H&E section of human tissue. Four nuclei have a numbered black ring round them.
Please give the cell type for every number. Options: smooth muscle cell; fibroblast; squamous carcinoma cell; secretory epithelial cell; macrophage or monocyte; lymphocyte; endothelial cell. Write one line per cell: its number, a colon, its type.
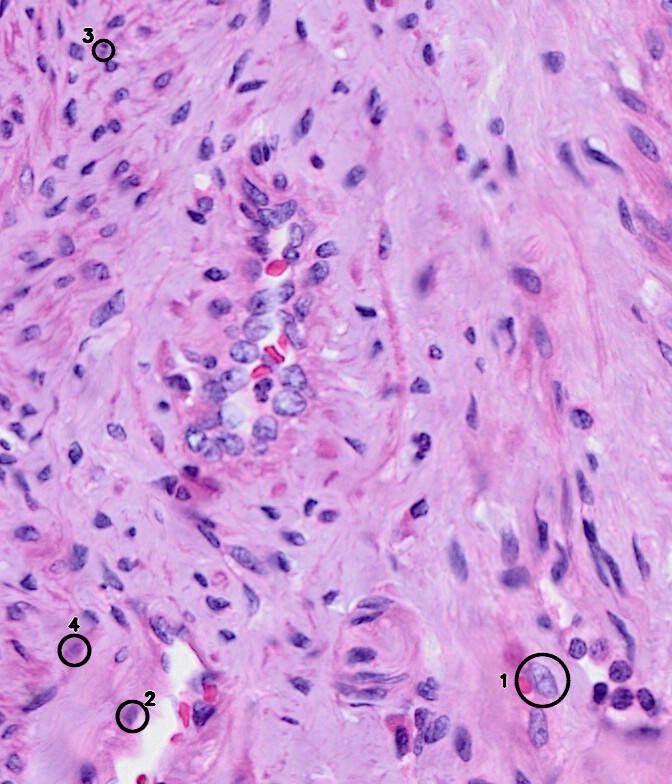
1: endothelial cell
2: endothelial cell
3: smooth muscle cell
4: smooth muscle cell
